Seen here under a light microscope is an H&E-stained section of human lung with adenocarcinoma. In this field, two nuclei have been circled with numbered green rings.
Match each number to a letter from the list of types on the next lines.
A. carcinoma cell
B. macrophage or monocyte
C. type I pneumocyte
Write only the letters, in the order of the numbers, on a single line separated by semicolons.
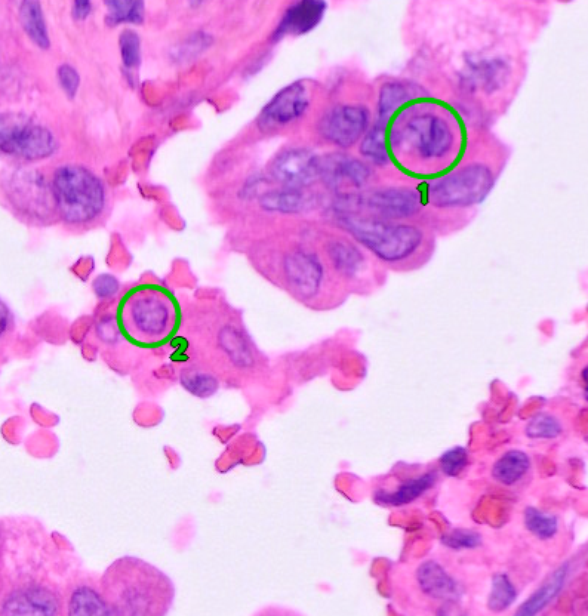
A; B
